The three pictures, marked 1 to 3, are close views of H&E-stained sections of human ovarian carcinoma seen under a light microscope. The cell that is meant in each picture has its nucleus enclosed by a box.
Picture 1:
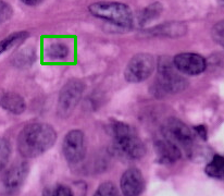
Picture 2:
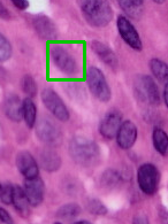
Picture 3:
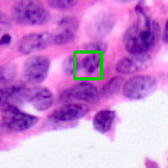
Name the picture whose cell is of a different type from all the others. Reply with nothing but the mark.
1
